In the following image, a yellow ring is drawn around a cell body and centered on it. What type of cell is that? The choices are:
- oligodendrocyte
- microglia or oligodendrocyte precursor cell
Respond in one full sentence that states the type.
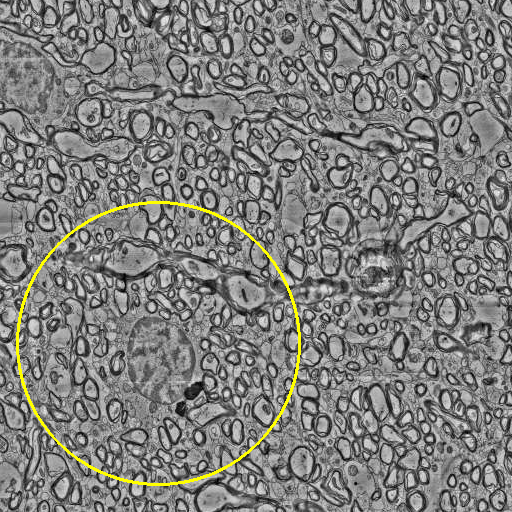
The cell at the center of the yellow ring in the image is an oligodendrocyte.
